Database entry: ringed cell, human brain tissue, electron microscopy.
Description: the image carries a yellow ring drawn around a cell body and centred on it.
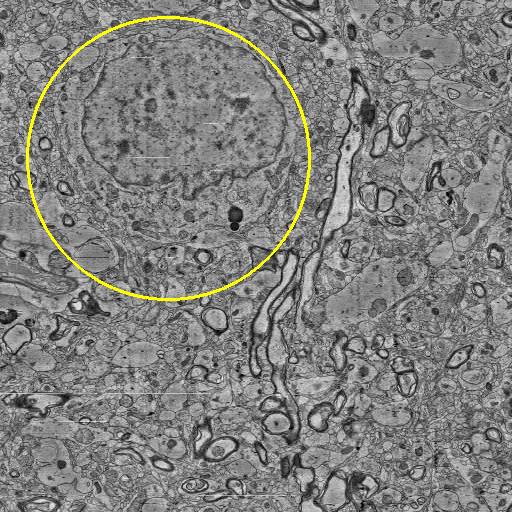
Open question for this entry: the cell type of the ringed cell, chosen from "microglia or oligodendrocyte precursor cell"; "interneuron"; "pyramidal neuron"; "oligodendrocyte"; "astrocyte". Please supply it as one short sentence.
The ringed cell is an interneuron.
